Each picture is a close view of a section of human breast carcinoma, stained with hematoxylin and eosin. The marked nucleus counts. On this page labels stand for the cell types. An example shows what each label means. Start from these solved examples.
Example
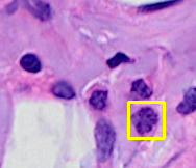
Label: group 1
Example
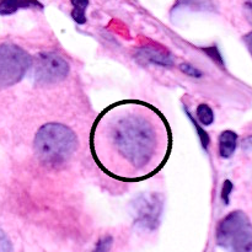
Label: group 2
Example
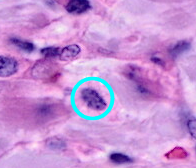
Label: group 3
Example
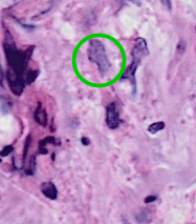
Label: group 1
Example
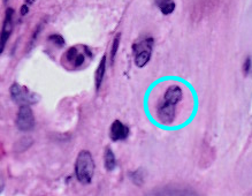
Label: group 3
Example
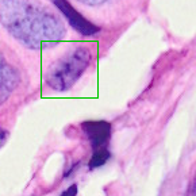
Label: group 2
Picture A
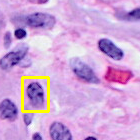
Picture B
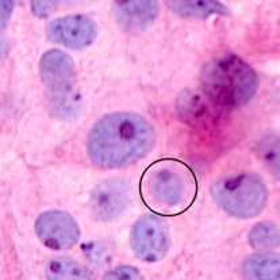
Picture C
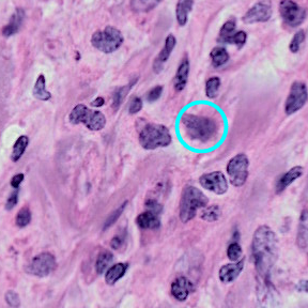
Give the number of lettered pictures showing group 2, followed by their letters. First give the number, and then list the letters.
1, namely B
